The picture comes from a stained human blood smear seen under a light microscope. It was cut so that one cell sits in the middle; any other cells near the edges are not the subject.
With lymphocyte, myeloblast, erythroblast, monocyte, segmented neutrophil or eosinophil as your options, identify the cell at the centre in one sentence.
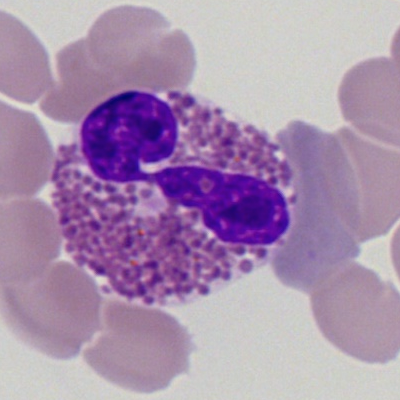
To answer, the cell in the center of the crop is an eosinophil.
